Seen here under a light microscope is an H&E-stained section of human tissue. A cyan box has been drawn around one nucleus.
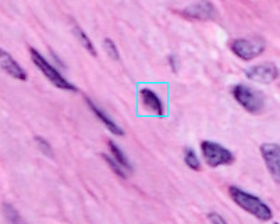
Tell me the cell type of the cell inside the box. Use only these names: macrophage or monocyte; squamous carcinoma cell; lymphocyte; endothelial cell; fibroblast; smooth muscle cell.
fibroblast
